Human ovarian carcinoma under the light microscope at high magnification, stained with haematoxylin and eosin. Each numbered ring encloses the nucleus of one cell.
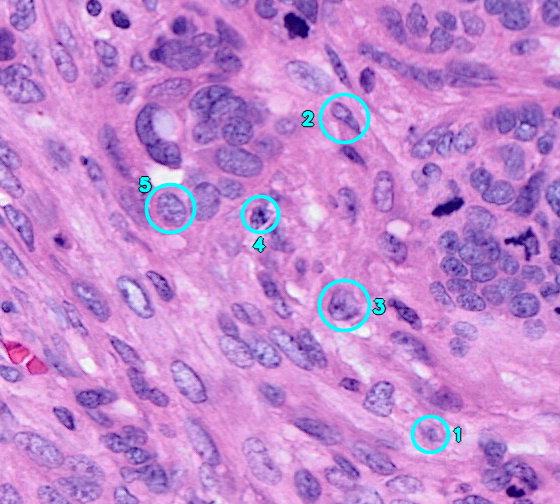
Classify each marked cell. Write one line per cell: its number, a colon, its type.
1: fibroblast
2: fibroblast
3: fibroblast
4: lymphocyte
5: carcinoma cell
